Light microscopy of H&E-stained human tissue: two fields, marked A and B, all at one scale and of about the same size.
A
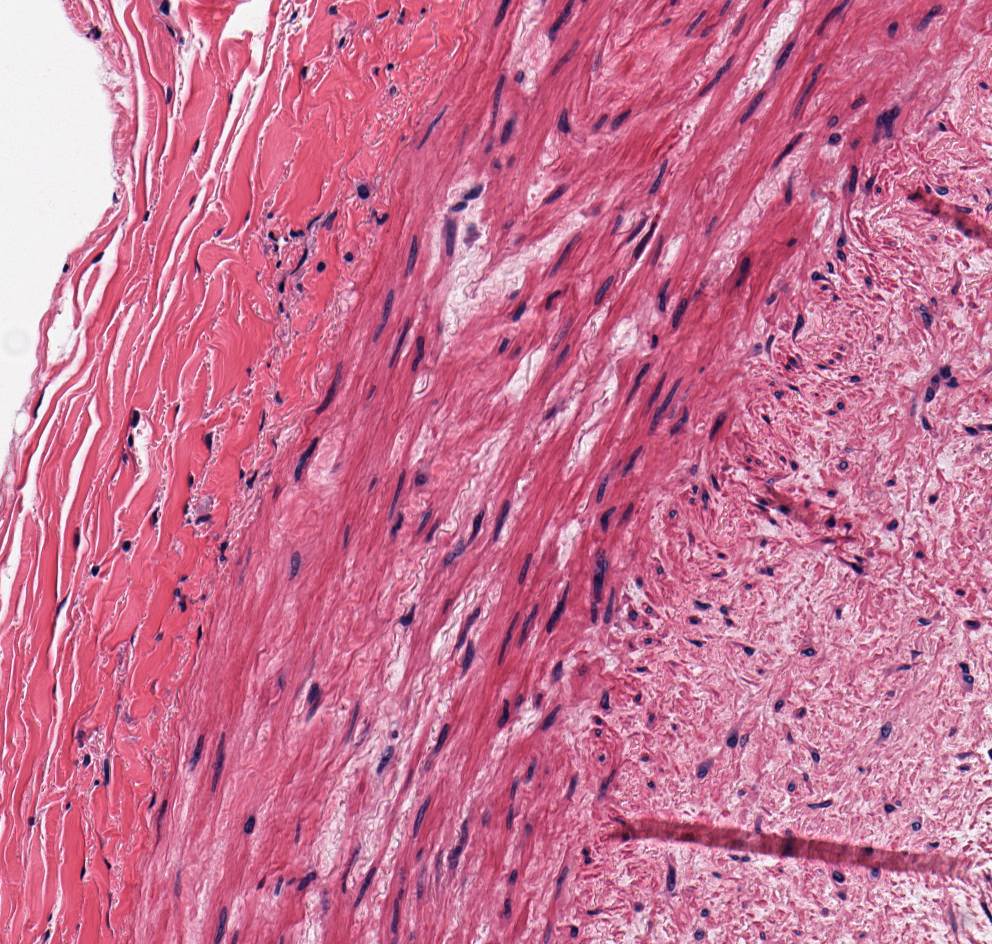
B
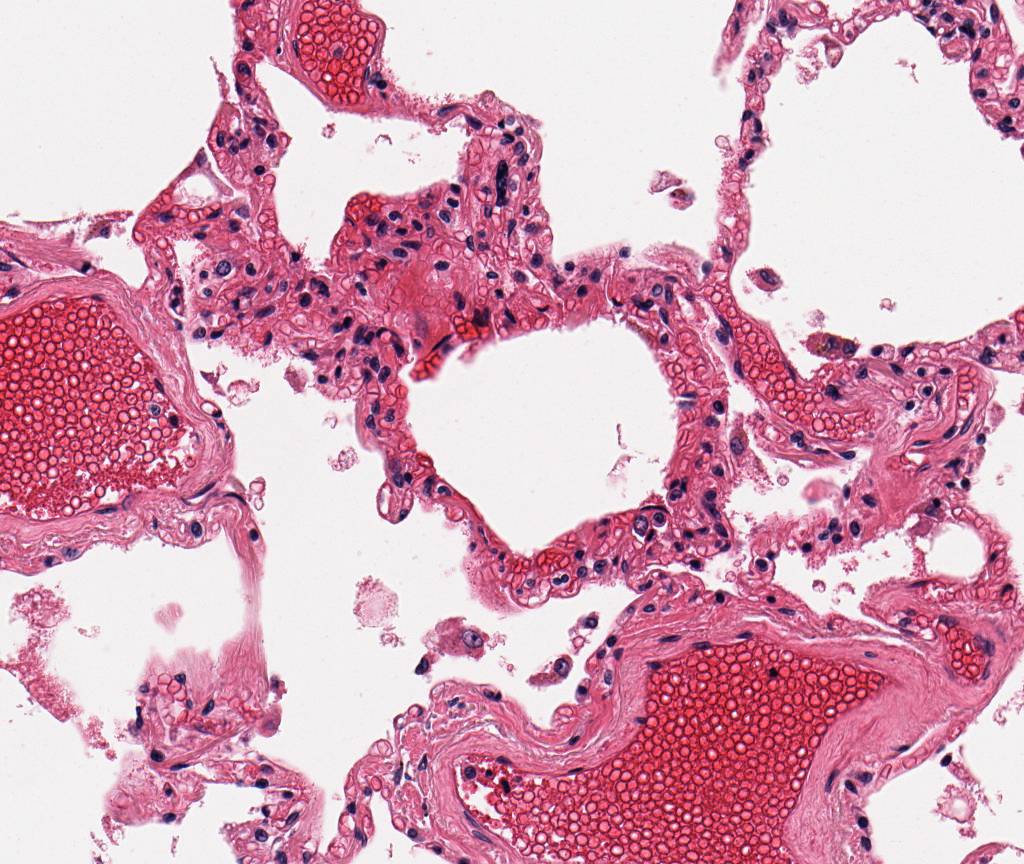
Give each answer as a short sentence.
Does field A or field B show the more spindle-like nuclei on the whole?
The nuclei are more elongated in field A.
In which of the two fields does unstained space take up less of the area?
It is field A that stained tissue fills more completely.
